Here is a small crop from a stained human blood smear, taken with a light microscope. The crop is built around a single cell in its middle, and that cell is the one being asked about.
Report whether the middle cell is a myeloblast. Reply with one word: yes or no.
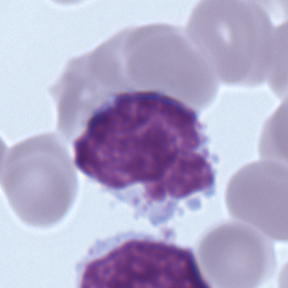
no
